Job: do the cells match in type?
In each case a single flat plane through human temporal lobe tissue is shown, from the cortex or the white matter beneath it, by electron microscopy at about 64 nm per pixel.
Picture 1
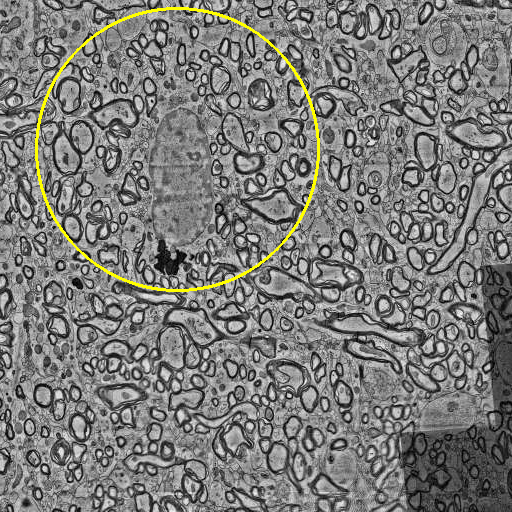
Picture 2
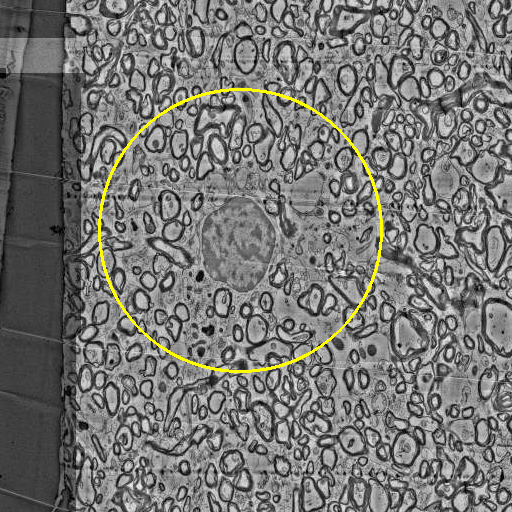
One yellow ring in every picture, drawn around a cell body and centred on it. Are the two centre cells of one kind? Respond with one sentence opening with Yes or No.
No, the ringed cells in the two pictures are of two separate kinds.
